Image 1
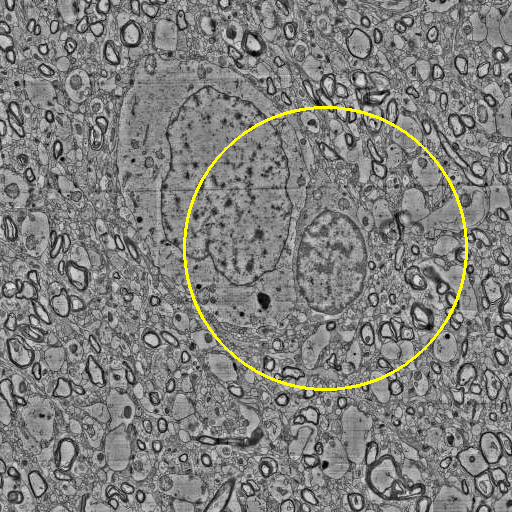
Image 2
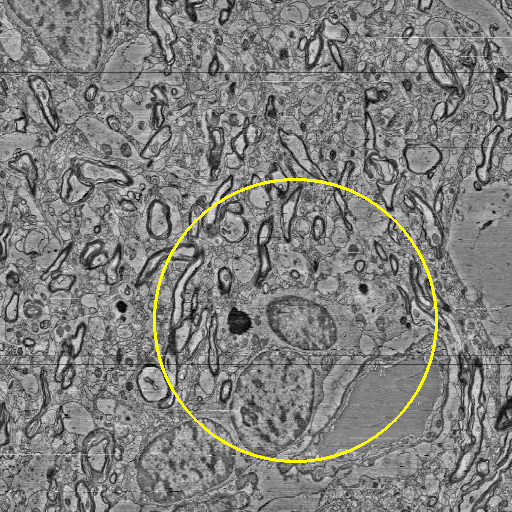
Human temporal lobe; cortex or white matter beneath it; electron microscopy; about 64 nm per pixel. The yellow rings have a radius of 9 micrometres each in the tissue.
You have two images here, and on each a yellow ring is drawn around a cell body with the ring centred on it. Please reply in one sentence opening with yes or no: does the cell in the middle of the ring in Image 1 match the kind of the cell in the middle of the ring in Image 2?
Yes, the two images show cells of one kind at the centres of their rings.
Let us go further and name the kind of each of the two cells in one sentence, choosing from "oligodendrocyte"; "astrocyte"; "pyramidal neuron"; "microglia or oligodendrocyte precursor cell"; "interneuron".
The cell in the first picture is an oligodendrocyte, and so is the one in the second.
